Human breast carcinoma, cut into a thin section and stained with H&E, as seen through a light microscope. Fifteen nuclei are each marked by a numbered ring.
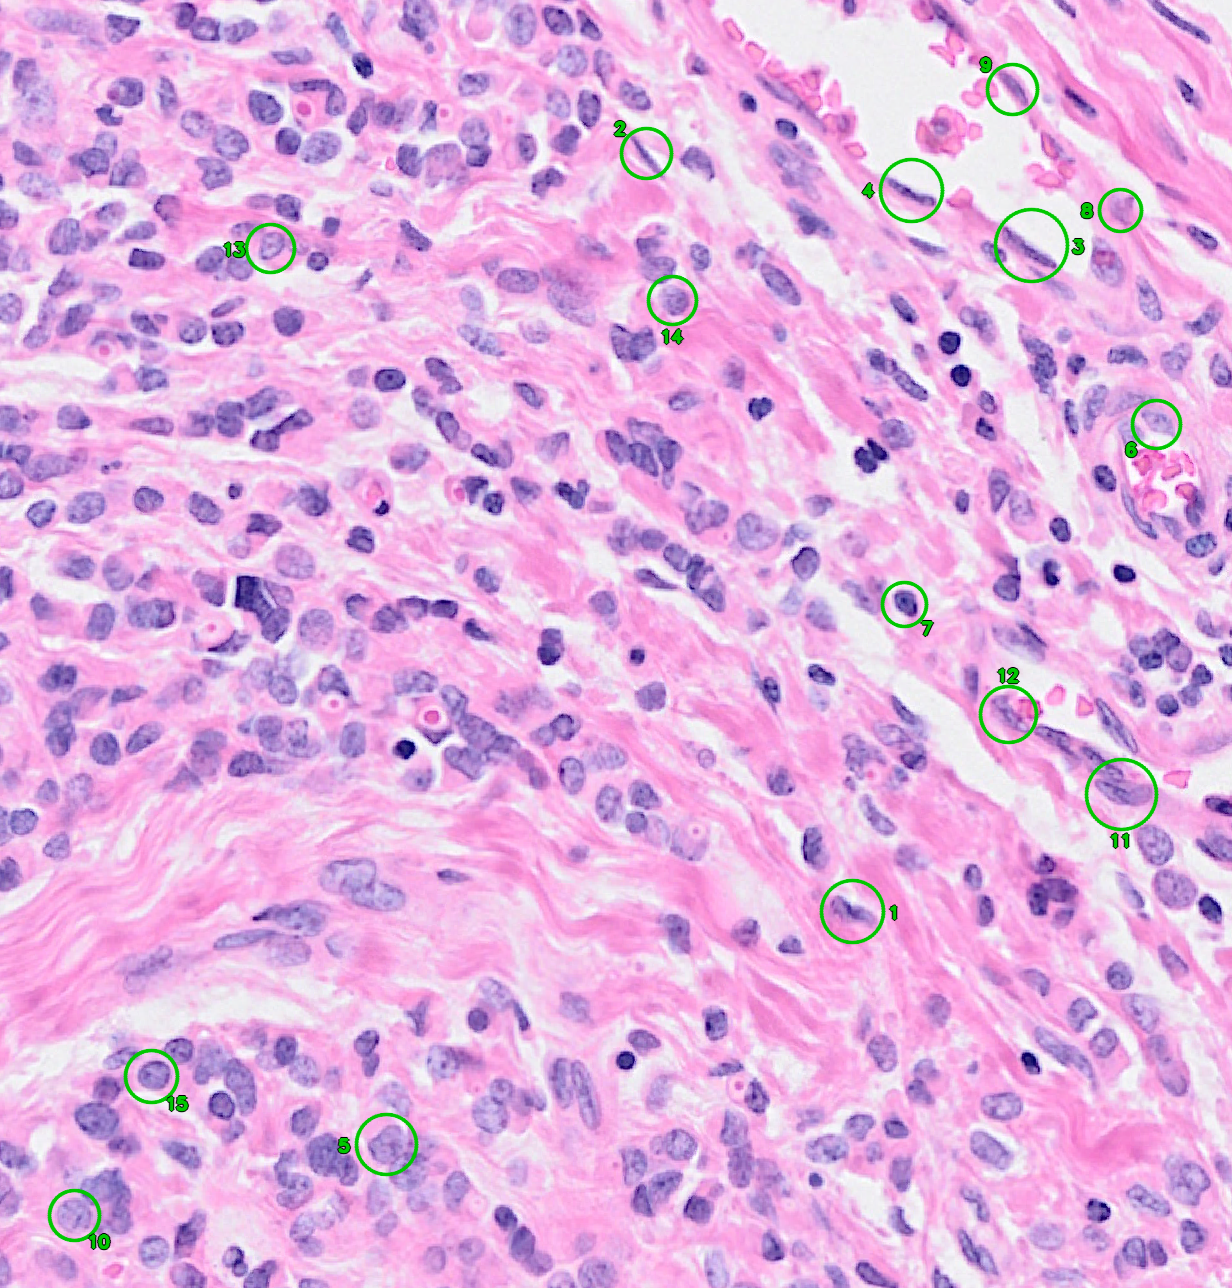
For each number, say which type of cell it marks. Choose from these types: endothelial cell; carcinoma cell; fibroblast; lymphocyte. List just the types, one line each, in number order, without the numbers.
fibroblast
fibroblast
endothelial cell
endothelial cell
carcinoma cell
endothelial cell
lymphocyte
endothelial cell
endothelial cell
carcinoma cell
endothelial cell
endothelial cell
carcinoma cell
carcinoma cell
carcinoma cell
